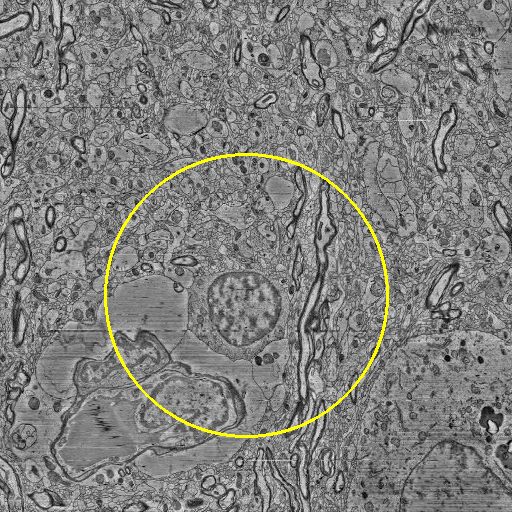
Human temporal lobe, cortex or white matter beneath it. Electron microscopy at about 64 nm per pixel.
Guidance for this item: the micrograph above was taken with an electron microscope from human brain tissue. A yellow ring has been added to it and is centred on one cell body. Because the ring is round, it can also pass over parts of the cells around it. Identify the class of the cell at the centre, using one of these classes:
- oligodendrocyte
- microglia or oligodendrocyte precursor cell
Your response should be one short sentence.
The ring surrounds the body of an oligodendrocyte.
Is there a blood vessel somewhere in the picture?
Yes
